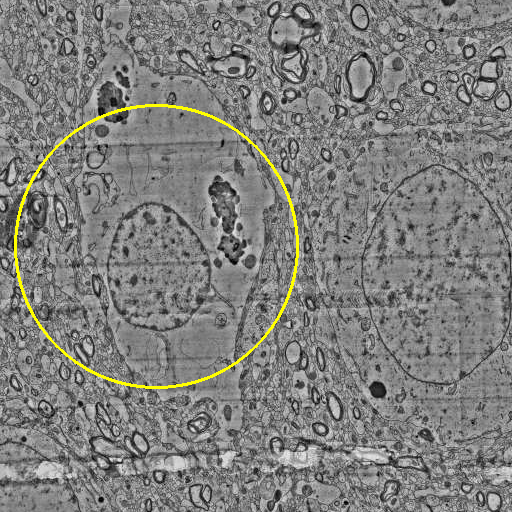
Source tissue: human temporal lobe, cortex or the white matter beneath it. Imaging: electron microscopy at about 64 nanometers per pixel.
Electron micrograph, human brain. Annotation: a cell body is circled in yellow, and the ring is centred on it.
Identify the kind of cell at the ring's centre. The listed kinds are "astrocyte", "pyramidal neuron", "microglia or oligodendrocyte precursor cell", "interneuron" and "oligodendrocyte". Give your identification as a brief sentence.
The circled cell body is that of an astrocyte.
